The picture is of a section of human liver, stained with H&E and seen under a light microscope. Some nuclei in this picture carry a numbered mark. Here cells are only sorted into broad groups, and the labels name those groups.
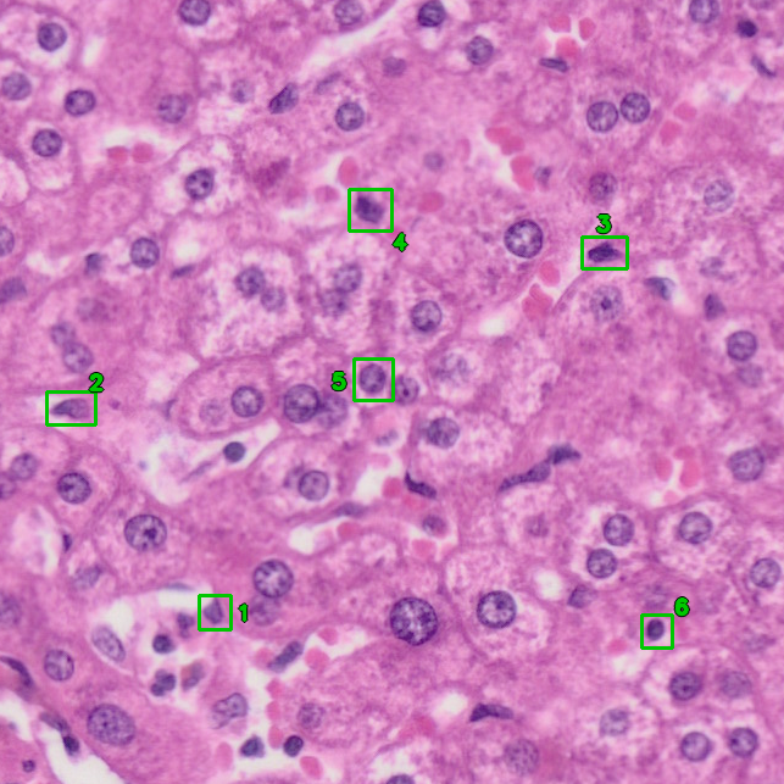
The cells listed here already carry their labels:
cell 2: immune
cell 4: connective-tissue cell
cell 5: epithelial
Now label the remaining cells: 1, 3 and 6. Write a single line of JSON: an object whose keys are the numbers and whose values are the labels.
{"1": "connective-tissue cell", "3": "connective-tissue cell", "6": "immune"}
